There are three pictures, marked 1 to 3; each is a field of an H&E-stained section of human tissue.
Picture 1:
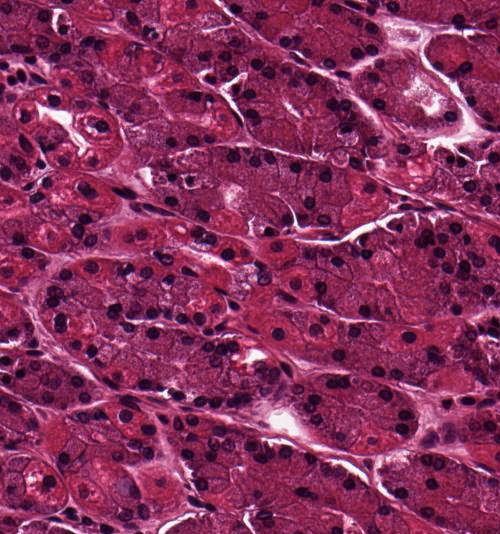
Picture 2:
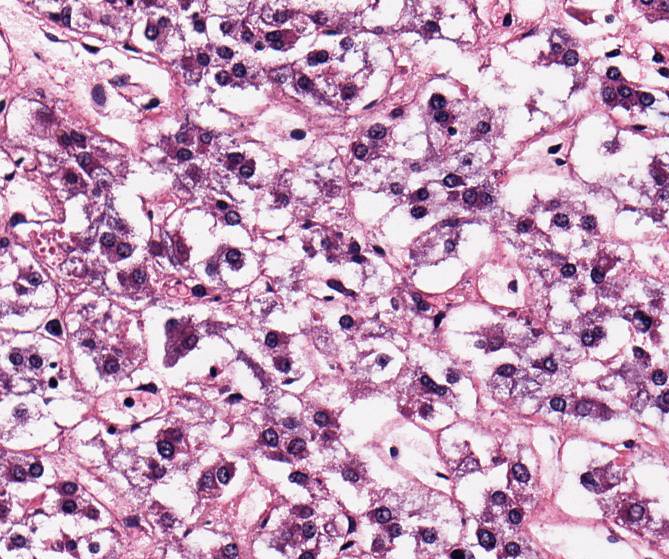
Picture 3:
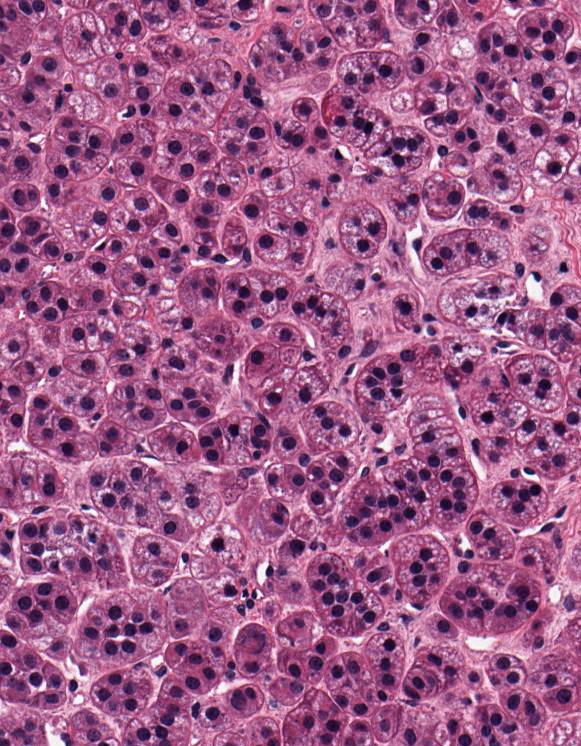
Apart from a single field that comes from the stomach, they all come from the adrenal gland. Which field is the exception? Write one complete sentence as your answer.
It is picture 1 that comes from the stomach.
